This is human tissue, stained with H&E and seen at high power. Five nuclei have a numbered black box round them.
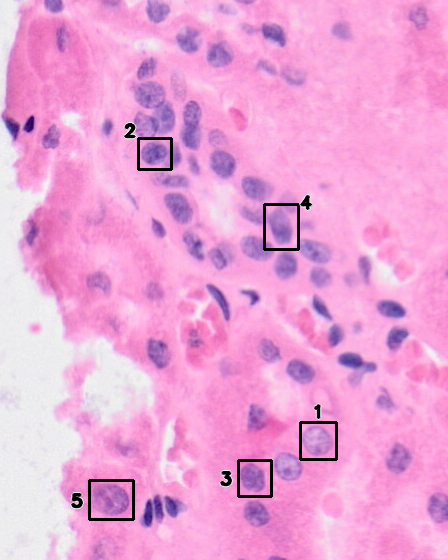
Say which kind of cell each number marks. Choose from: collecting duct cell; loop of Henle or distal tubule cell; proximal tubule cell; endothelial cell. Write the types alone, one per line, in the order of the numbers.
proximal tubule cell
collecting duct cell
proximal tubule cell
collecting duct cell
proximal tubule cell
